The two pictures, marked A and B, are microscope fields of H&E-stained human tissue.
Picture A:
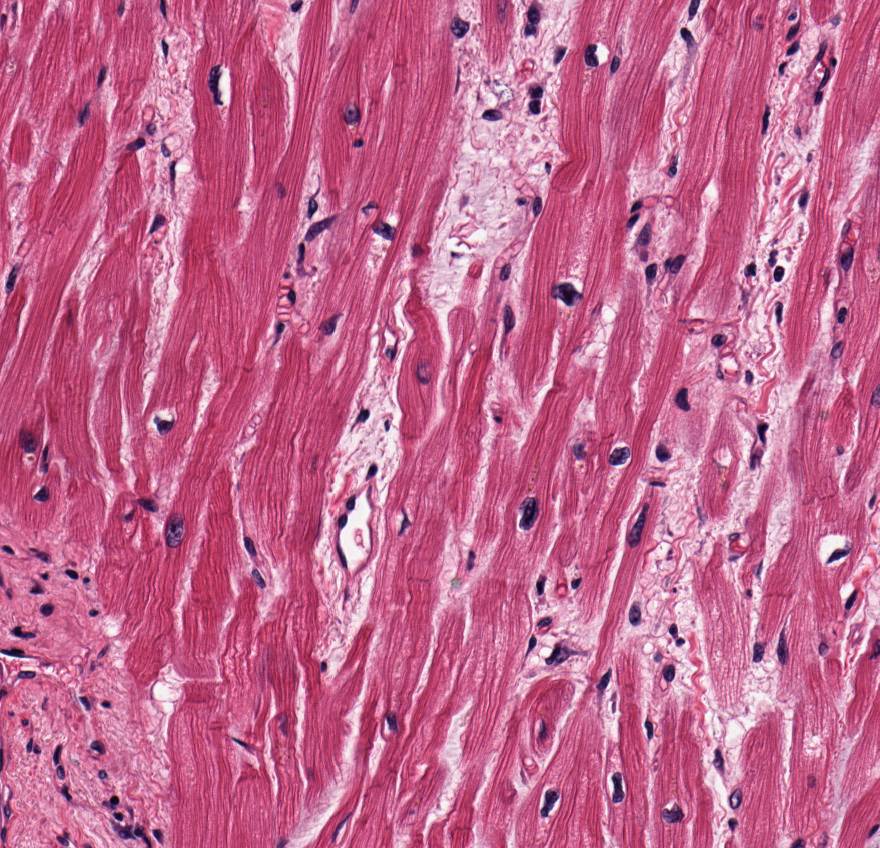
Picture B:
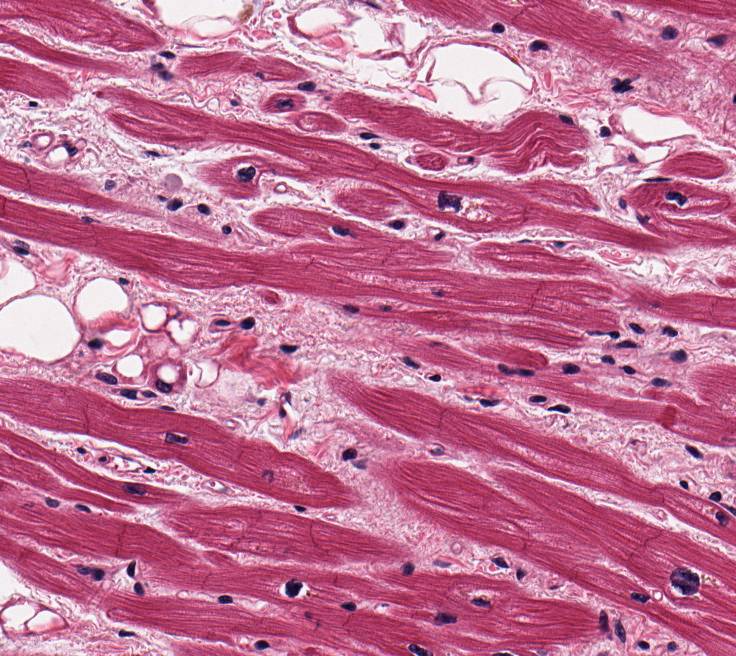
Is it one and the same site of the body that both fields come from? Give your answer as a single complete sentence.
Yes, they come from the same site of the body: both come from the atrial appendage of the heart.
